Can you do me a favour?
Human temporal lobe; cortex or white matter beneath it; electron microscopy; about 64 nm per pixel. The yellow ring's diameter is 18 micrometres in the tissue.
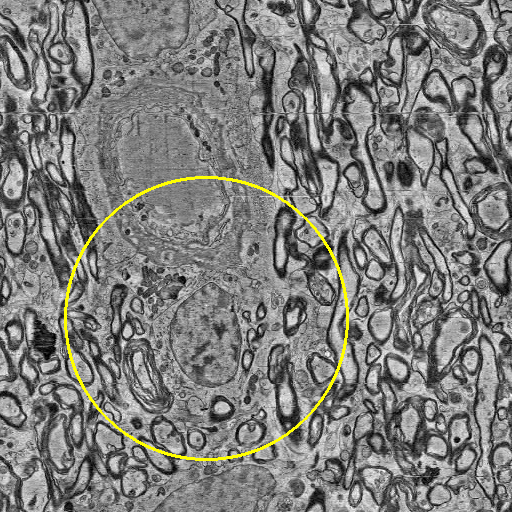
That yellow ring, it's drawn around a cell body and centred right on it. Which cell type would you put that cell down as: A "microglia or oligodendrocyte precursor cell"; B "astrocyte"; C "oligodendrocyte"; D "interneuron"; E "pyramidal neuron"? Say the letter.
A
